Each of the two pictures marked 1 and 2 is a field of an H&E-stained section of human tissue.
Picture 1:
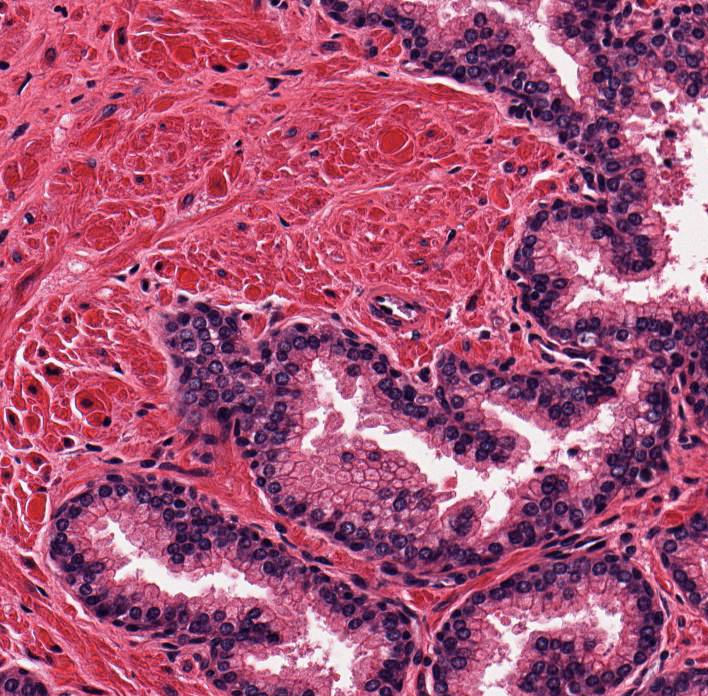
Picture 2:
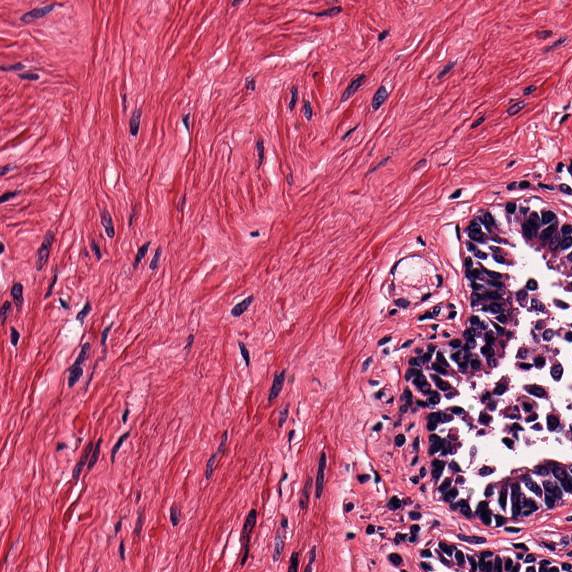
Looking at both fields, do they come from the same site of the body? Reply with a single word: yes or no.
yes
